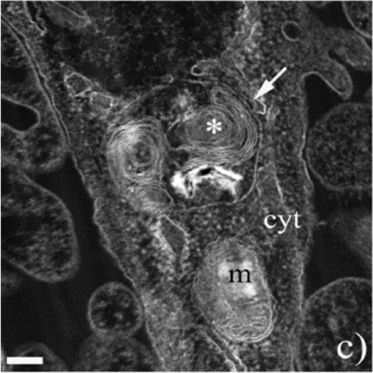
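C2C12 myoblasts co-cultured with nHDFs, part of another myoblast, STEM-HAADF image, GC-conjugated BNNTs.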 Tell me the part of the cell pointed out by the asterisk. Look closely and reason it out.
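Many thin concentric membranes form a whorl at the asterisk. The whorl lies inside a membrane-bound compartment.
Conclusion: multilamellar stack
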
